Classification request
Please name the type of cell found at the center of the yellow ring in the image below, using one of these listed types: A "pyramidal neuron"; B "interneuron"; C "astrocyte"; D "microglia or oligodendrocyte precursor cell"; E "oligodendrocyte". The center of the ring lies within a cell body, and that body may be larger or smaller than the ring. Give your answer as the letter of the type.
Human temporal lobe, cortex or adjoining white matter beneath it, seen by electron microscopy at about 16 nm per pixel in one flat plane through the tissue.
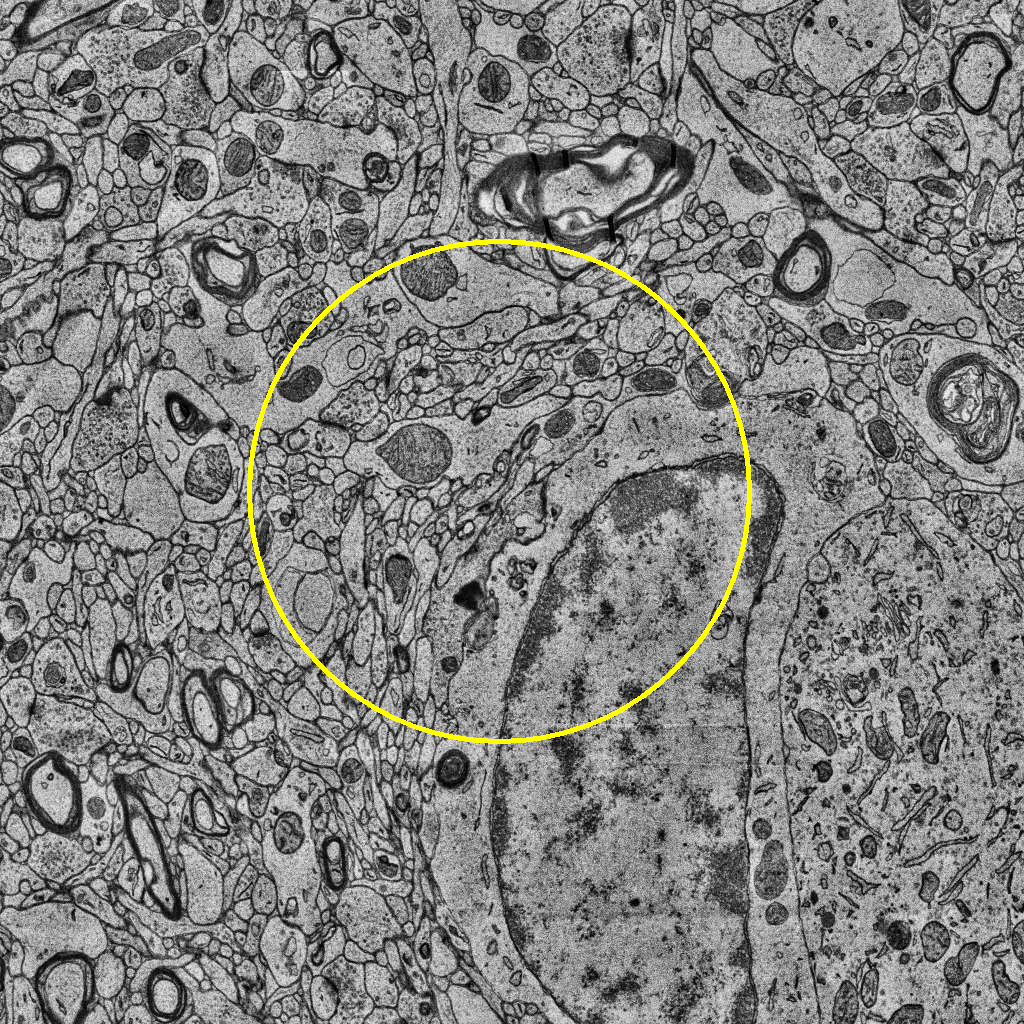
E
